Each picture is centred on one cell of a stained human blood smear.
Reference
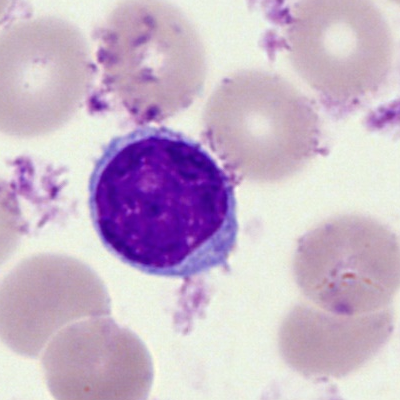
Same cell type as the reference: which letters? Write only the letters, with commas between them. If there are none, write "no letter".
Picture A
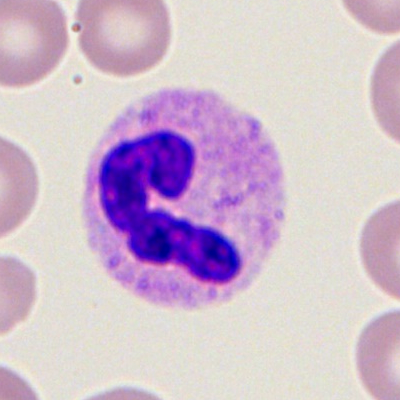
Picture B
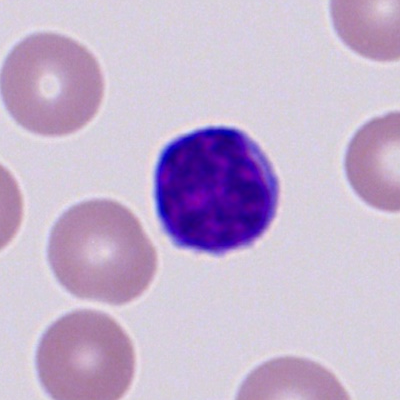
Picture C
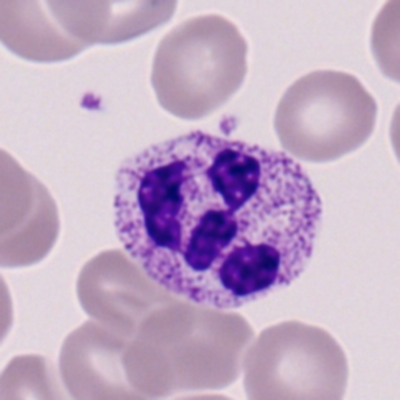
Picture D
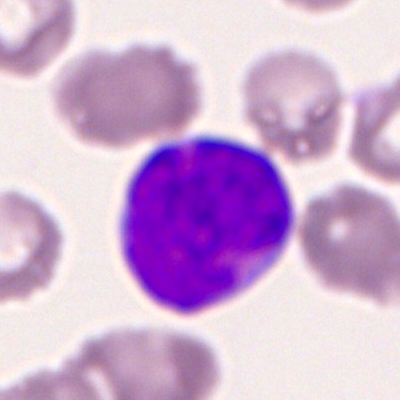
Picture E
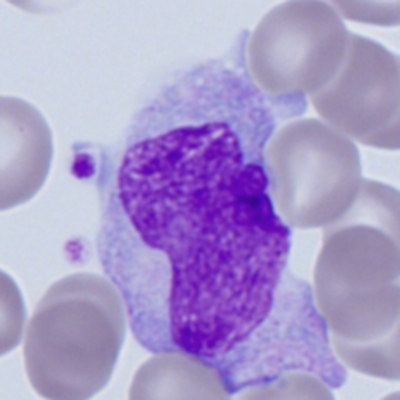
B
